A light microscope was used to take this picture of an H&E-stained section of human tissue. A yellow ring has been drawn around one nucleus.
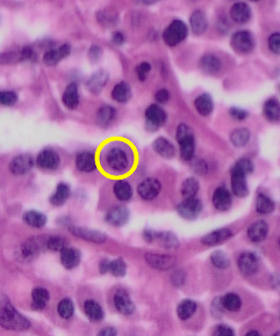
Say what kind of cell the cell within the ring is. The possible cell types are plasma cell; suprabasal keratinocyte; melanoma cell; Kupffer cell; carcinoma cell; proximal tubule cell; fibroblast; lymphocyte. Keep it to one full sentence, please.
It is as a plasma cell that the cell within the ring is classified.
